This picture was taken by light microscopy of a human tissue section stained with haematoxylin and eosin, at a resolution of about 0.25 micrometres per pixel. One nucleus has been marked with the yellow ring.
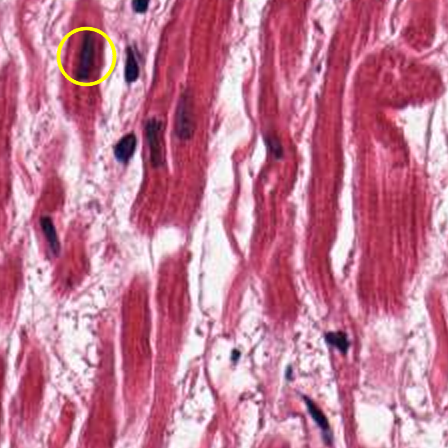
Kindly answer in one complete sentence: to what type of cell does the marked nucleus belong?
The nucleus that has been marked belongs to a cardiomyocyte.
